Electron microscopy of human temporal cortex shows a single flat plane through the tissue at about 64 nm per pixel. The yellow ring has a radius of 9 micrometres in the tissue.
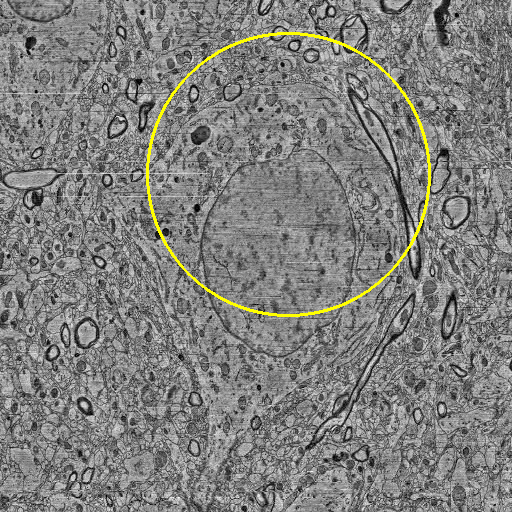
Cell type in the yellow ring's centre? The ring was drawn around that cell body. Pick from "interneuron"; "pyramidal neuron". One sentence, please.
The ringed cell body is that of a pyramidal neuron.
